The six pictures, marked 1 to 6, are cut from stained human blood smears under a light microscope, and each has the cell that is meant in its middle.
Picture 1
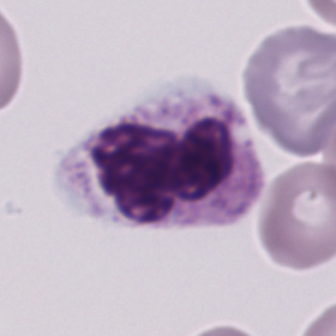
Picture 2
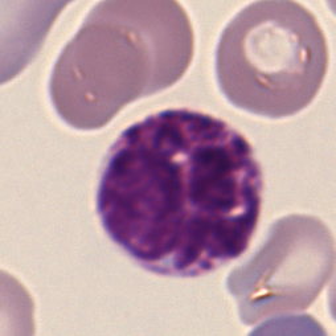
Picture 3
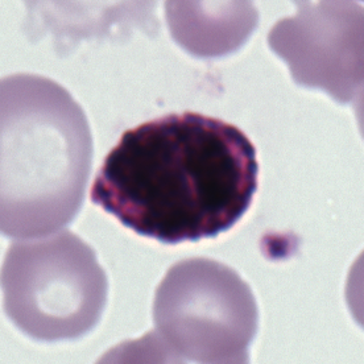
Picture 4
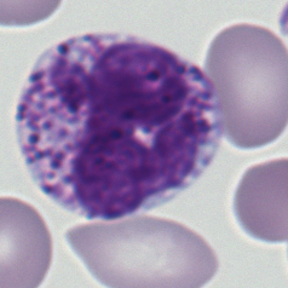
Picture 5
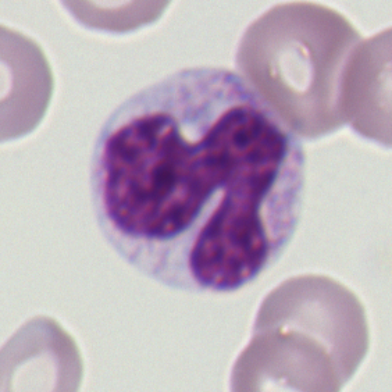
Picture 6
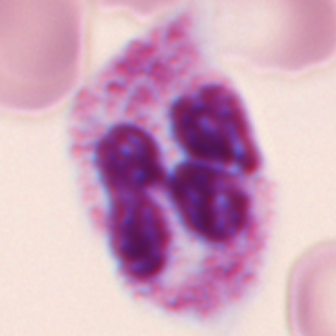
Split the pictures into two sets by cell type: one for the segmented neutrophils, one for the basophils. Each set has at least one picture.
1: segmented neutrophil
2: basophil
3: basophil
4: basophil
5: segmented neutrophil
6: segmented neutrophil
